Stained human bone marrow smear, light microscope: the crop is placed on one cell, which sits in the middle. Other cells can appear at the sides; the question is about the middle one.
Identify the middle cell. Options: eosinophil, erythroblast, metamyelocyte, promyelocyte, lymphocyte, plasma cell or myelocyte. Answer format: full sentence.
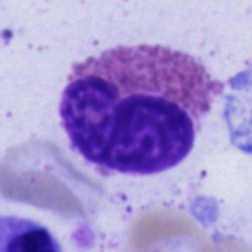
The cell at the centre of the field is an eosinophil.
